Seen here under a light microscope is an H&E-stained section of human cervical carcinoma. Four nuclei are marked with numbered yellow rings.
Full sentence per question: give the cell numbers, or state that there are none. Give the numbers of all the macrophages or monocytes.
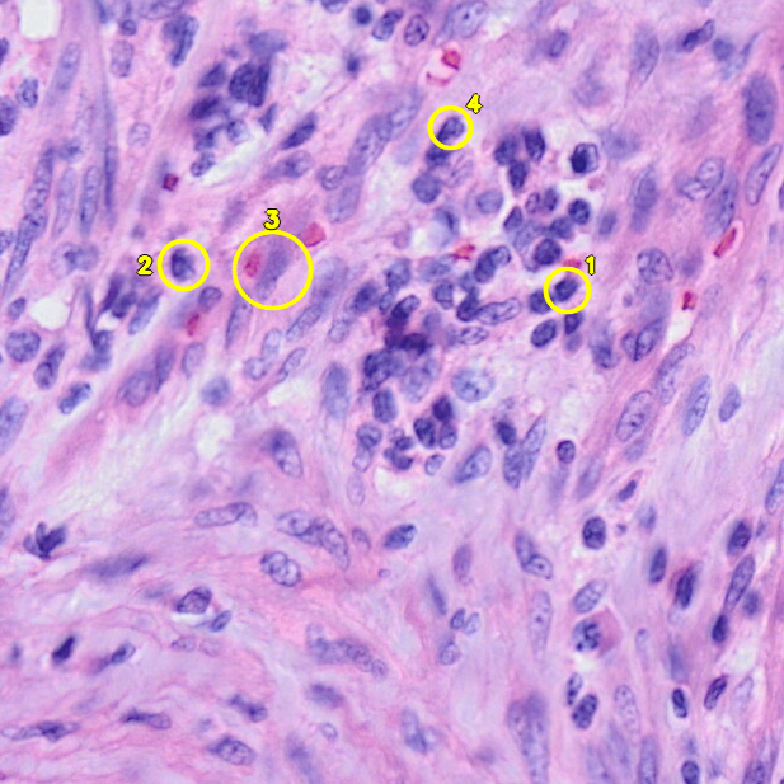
None of the cells indicated by numbers are macrophages or monocytes.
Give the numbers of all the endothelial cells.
Of the cells carrying numbers, just cell 3 is an endothelial cell.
